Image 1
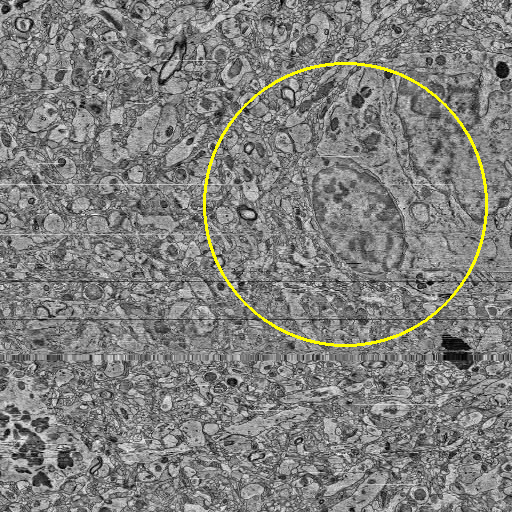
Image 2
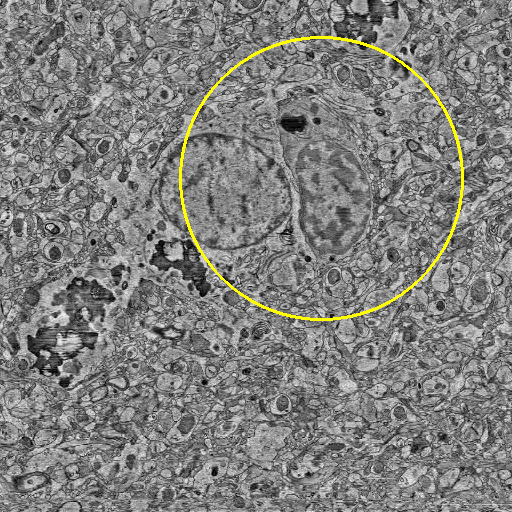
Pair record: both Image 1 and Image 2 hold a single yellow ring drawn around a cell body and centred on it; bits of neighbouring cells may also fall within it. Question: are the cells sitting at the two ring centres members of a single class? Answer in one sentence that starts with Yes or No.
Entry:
Yes, both ring-centre cells in Image 1 and Image 2 are members of one class.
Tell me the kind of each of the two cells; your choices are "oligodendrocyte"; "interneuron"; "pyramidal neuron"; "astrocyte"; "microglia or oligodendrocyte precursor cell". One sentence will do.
Each of the two pictures has an oligodendrocyte at the ring centre.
